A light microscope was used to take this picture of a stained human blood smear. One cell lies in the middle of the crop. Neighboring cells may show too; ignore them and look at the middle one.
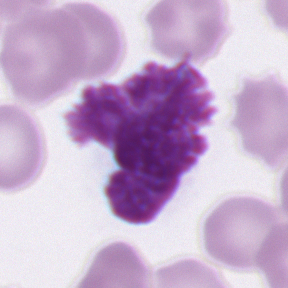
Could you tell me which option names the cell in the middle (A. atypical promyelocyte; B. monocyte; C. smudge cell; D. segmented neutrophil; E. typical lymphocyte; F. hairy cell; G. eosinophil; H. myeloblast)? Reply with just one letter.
C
